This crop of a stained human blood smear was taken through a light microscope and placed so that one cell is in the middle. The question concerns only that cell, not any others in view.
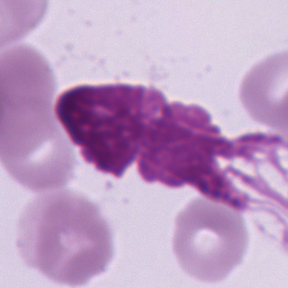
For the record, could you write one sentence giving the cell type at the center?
The middle position in this crop is taken by a smudge cell.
